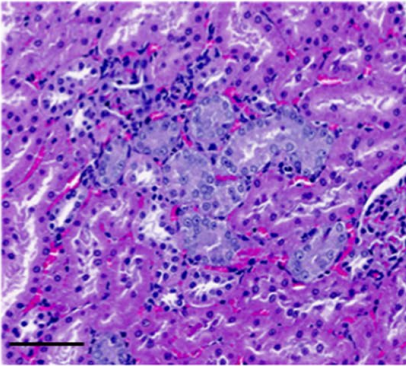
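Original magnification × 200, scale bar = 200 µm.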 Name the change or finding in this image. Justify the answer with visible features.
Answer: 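Tubular basophilia. A cluster of tubules in the centre has pale bluish-grey cytoplasm. The surrounding tubules have pink cytoplasm. The bluish tubules are lined by cuboidal cells with round nuclei.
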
